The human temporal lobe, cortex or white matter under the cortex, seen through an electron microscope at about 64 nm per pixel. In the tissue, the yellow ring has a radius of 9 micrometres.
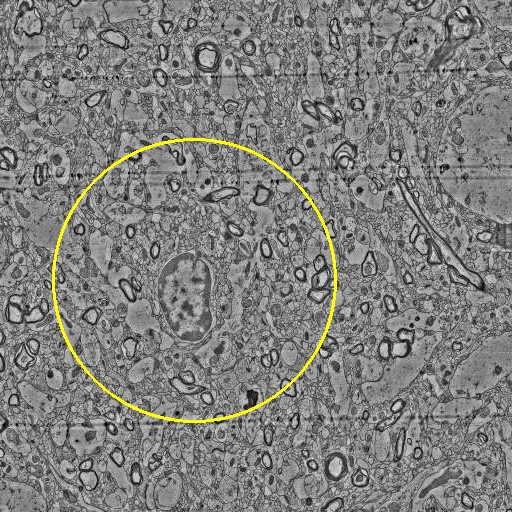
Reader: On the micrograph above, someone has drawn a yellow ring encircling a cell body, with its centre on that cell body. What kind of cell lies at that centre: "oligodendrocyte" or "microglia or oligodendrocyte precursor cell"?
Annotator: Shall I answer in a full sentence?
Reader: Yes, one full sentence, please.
Here a microglial cell or oligodendrocyte precursor cell sits at the centre of the yellow ring drawn on the micrograph.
